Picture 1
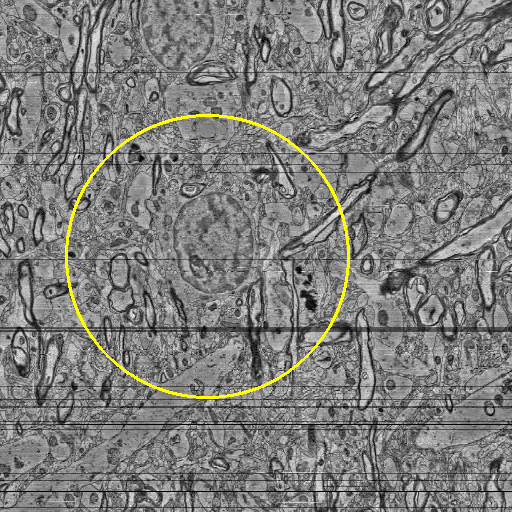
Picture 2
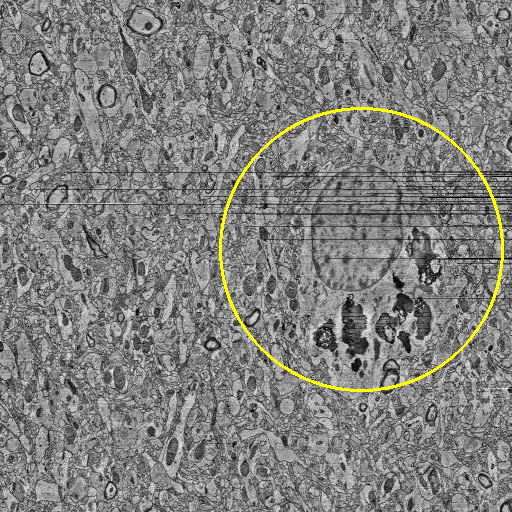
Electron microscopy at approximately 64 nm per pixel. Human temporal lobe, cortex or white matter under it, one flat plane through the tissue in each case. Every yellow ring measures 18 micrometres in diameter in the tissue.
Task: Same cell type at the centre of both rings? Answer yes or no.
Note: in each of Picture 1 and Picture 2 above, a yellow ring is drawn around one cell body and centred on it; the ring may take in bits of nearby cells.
no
